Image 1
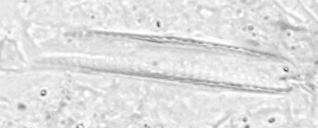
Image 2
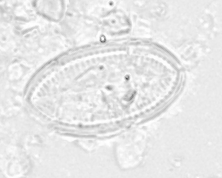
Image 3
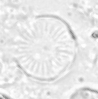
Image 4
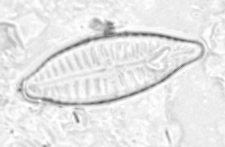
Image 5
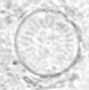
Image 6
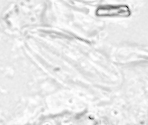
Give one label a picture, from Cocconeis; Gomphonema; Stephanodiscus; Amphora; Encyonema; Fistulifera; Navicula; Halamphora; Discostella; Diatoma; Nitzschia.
1: Navicula
2: Cocconeis
3: Discostella
4: Gomphonema
5: Discostella
6: Fistulifera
